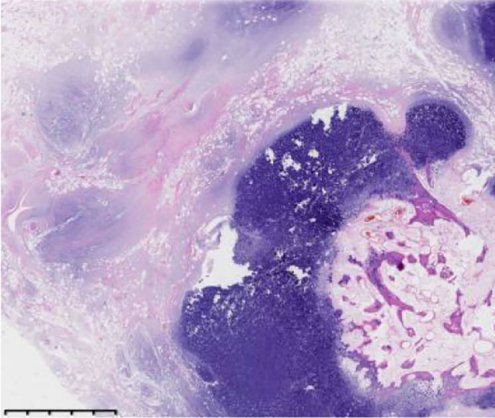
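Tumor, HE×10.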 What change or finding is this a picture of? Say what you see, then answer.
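The lobules vary in size and some are clustered around a central pale area. That points to this answer: multi-nodular growth.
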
